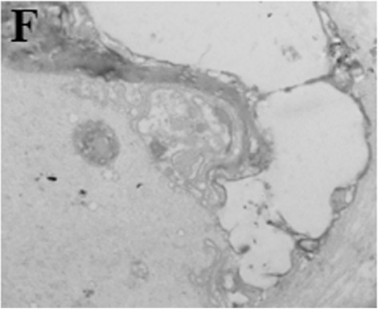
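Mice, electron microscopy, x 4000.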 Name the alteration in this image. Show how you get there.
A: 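A sheath is split and irregular, with large clear vacuole-like spaces. The layered membrane is loosened rather than a smooth compact ring.
Hence: abnormal myelination.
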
